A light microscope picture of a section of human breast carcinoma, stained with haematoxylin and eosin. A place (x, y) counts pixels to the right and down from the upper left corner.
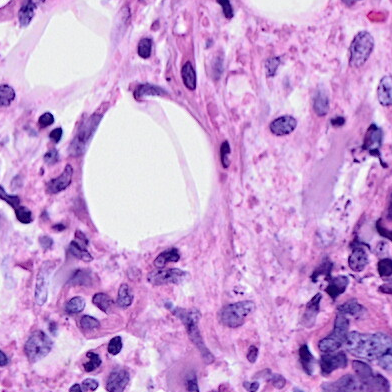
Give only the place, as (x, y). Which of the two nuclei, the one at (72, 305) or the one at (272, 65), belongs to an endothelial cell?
(72, 305)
